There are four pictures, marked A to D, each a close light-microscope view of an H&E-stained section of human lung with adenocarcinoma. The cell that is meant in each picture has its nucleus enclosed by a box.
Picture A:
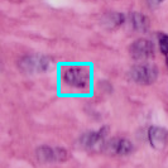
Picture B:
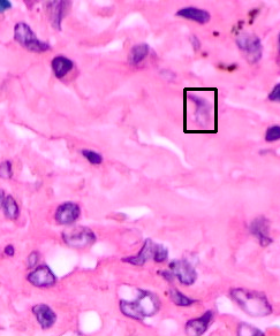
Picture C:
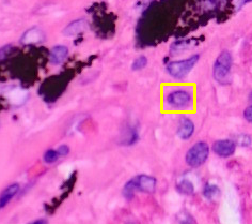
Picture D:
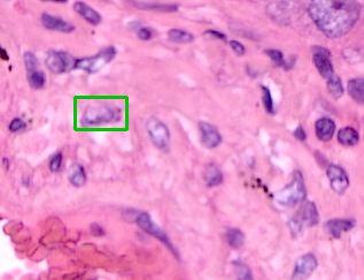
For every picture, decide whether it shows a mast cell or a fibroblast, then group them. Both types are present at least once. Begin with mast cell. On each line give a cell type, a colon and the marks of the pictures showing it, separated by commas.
mast cell: A, C
fibroblast: B, D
